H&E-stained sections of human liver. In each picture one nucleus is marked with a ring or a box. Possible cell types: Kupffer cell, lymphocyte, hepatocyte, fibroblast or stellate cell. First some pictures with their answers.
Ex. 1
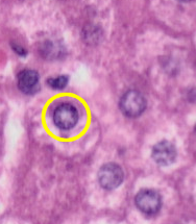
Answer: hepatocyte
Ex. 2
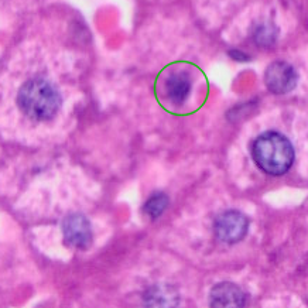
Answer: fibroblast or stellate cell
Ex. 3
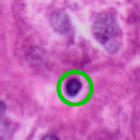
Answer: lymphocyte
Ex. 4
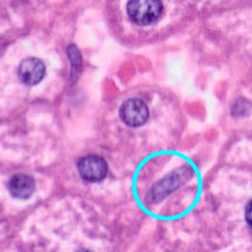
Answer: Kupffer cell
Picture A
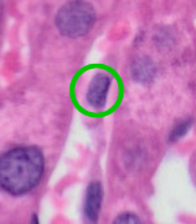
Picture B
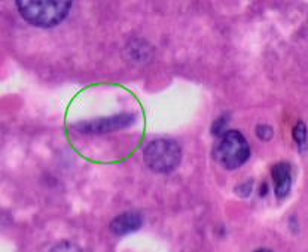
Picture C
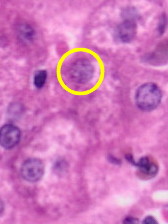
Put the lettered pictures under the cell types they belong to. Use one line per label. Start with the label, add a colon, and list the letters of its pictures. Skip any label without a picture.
Kupffer cell: A, B
hepatocyte: C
